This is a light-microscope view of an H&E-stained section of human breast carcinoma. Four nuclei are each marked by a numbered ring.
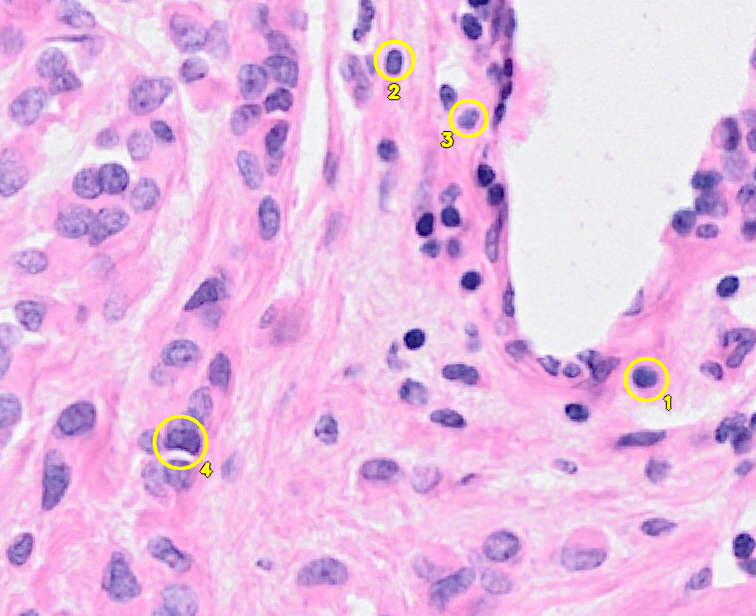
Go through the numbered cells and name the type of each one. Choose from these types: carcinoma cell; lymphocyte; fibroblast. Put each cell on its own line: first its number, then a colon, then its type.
1: lymphocyte
2: lymphocyte
3: lymphocyte
4: carcinoma cell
